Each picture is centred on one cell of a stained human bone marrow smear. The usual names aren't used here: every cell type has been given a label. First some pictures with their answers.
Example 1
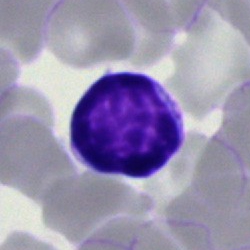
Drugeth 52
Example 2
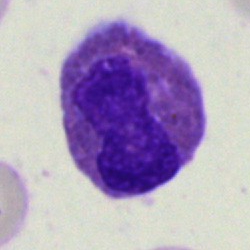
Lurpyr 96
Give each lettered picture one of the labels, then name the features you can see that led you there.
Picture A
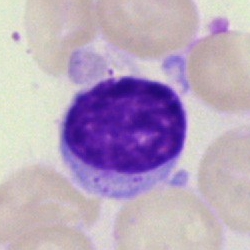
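Drugeth 52. Evidence: The cytoplasm is scant compared with the nucleus.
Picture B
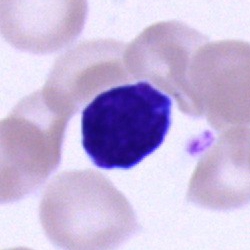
Drugeth 52. Evidence: Cytoplasm is scant, with the nucleus filling almost the whole cell.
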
